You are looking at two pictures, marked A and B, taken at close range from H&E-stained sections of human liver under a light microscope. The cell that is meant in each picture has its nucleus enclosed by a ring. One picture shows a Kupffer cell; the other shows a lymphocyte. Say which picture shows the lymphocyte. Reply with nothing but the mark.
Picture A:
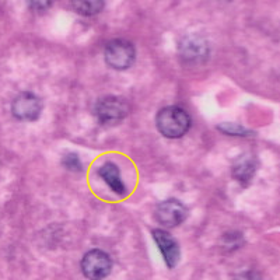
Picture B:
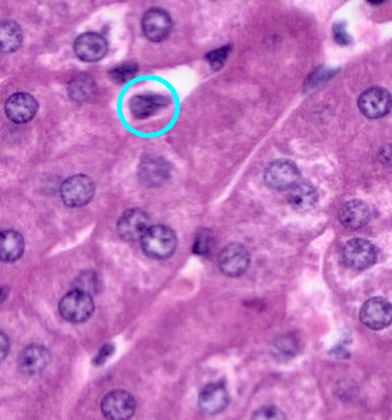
A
